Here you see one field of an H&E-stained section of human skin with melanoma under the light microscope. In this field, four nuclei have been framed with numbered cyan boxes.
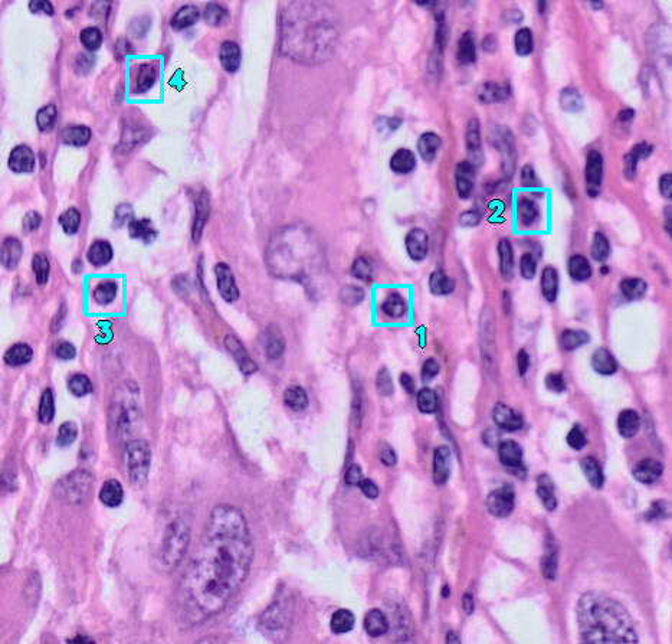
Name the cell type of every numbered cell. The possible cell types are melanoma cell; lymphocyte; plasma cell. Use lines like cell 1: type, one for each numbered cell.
cell 1: plasma cell
cell 2: plasma cell
cell 3: lymphocyte
cell 4: plasma cell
